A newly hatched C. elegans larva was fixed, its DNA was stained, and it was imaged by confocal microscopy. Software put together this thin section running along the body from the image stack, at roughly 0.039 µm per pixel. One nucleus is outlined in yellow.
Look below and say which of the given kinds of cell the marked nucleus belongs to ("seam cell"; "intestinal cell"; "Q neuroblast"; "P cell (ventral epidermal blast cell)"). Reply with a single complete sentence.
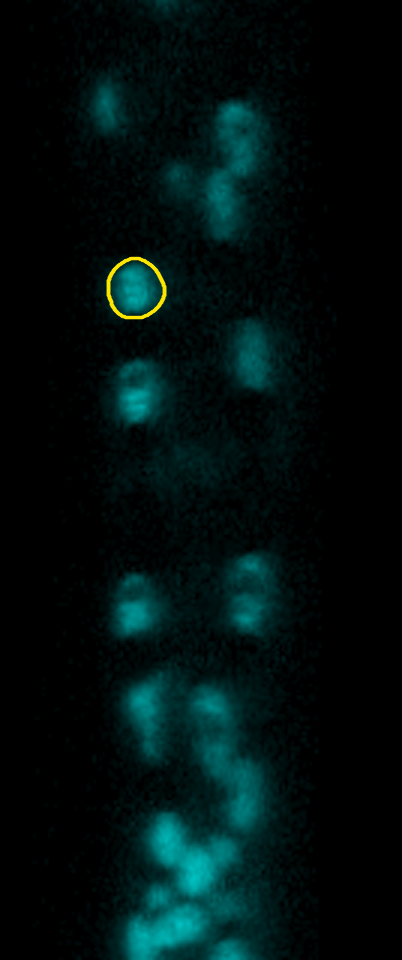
It belongs to a Q neuroblast.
